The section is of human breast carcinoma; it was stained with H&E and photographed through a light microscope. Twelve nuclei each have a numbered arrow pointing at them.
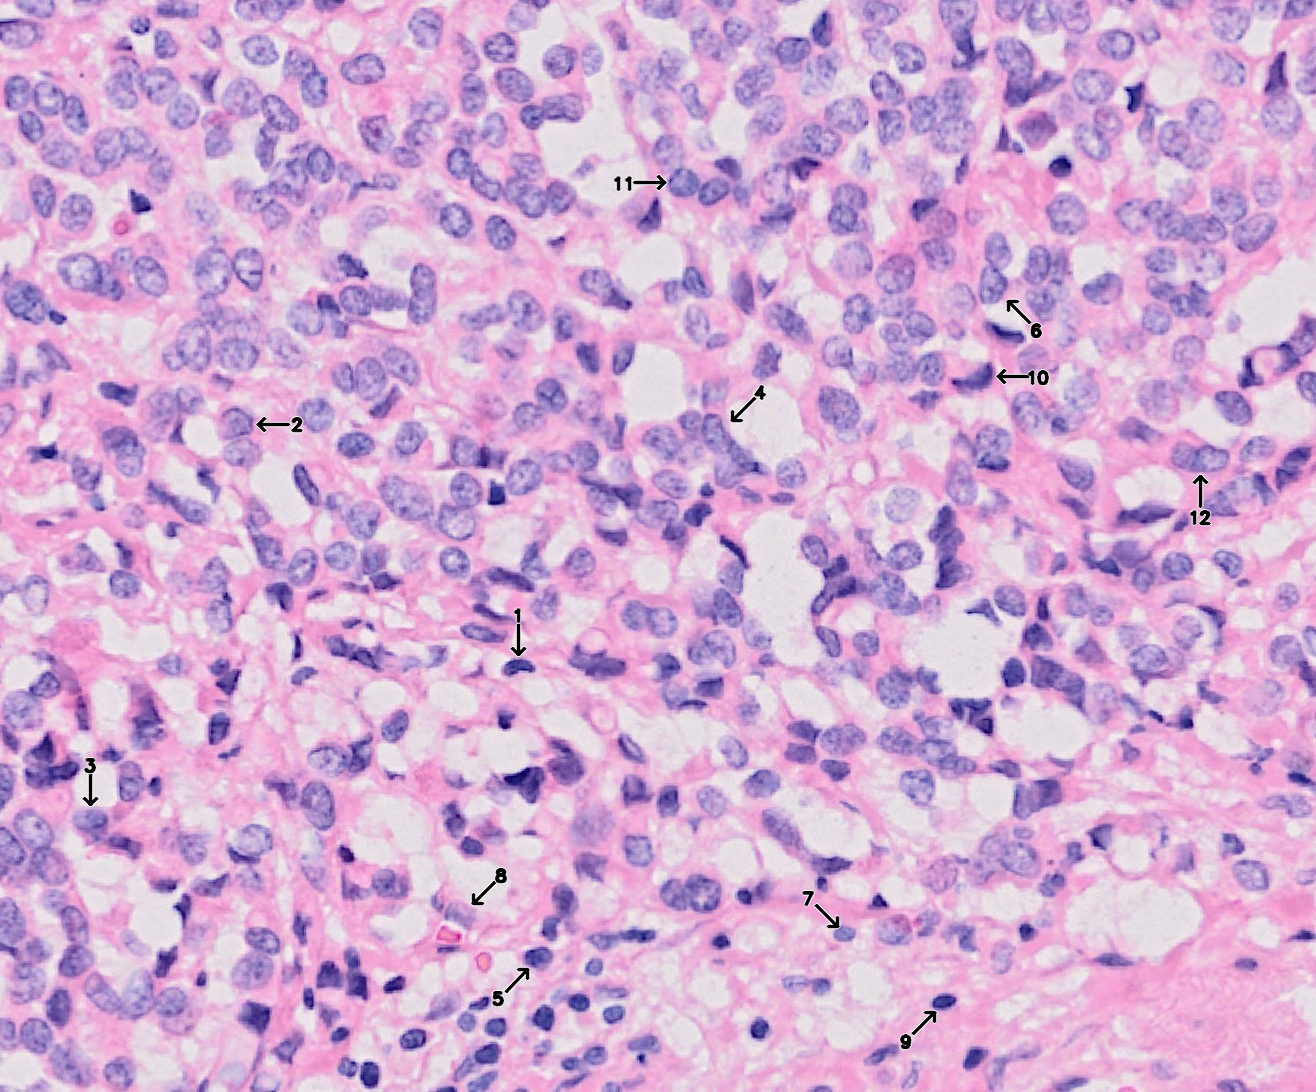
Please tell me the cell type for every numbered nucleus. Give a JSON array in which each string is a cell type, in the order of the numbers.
["lymphocyte", "carcinoma cell", "carcinoma cell", "carcinoma cell", "lymphocyte", "carcinoma cell", "lymphocyte", "endothelial cell", "lymphocyte", "carcinoma cell", "carcinoma cell", "carcinoma cell"]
